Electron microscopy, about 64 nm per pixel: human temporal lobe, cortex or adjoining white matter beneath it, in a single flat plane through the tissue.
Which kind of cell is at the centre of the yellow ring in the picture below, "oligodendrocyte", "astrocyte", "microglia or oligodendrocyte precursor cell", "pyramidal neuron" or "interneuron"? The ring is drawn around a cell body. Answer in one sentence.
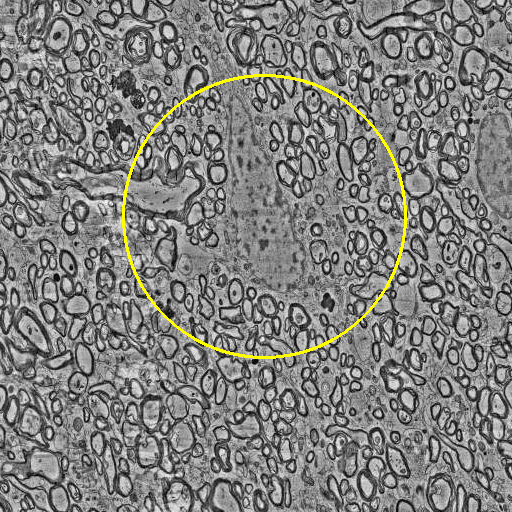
The ring's central cell is an astrocyte.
